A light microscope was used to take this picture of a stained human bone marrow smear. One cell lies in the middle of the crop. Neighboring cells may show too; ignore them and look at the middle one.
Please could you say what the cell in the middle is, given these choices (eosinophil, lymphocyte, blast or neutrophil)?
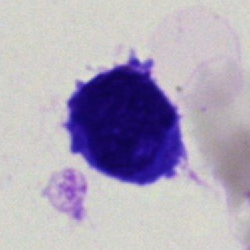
blast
